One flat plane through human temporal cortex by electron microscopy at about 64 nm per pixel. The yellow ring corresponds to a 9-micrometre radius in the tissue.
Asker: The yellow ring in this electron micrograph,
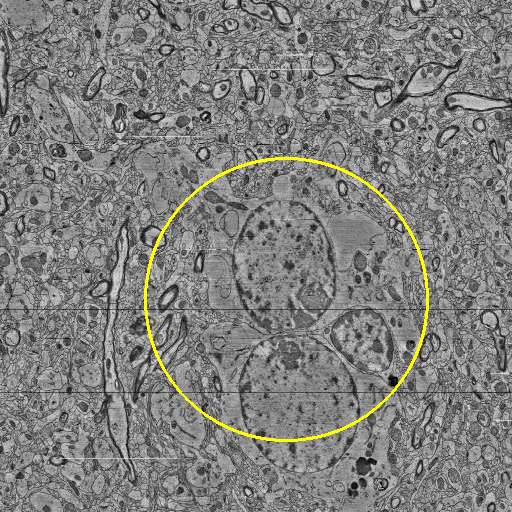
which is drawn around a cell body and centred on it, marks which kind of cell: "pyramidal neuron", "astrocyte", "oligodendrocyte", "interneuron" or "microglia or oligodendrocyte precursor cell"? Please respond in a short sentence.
The marked cell is an astrocyte.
